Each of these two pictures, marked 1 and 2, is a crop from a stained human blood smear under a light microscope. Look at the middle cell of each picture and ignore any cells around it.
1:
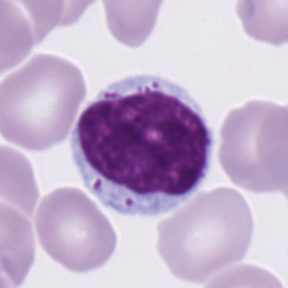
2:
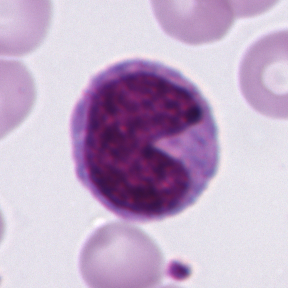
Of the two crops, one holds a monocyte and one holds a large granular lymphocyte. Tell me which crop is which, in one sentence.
The cell centred in crop 1 is a large granular lymphocyte, while the one centred in crop 2 is a monocyte.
